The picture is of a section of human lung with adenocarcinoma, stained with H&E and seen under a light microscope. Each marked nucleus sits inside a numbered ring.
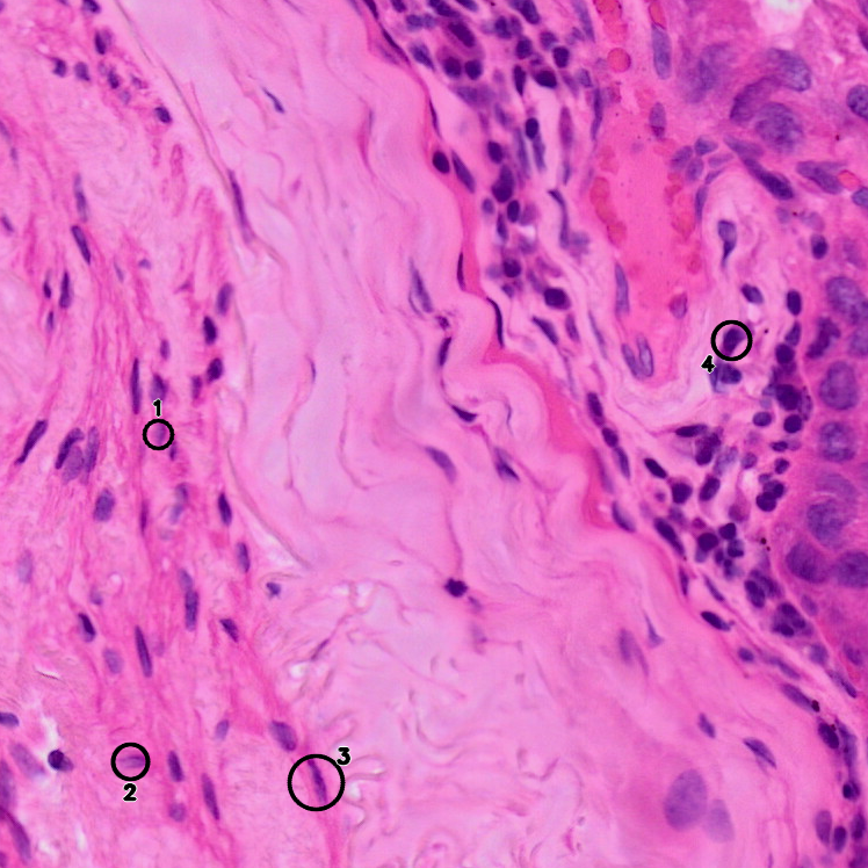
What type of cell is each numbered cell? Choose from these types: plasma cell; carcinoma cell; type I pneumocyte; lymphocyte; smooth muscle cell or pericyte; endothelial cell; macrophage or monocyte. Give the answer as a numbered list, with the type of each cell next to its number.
1. smooth muscle cell or pericyte
2. smooth muscle cell or pericyte
3. smooth muscle cell or pericyte
4. plasma cell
